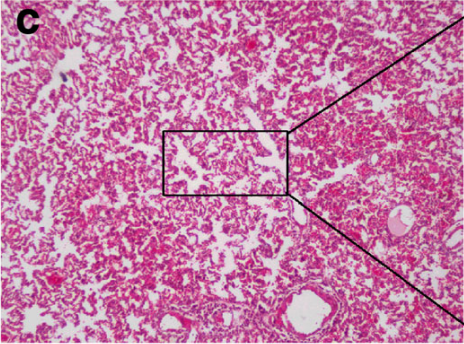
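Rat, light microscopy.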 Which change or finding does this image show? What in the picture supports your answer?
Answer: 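Most of the alveoli were destroyed. Few open rounded airspaces remain. The tissue is a dense, disordered red mesh without regular alveolar outlines.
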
